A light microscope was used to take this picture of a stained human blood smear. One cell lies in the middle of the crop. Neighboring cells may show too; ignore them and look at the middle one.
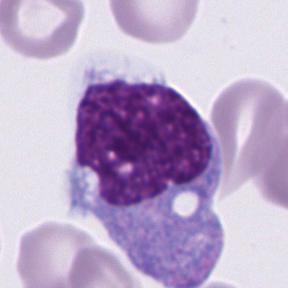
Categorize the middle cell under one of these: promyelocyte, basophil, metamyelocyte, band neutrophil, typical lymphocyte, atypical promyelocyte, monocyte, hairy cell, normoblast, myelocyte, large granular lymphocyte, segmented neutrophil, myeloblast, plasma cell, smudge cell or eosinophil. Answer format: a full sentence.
The central cell shown in this smear crop is a monocyte.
